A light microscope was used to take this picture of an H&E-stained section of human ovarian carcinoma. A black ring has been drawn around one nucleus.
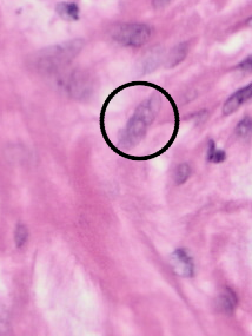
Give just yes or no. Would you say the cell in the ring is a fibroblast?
yes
